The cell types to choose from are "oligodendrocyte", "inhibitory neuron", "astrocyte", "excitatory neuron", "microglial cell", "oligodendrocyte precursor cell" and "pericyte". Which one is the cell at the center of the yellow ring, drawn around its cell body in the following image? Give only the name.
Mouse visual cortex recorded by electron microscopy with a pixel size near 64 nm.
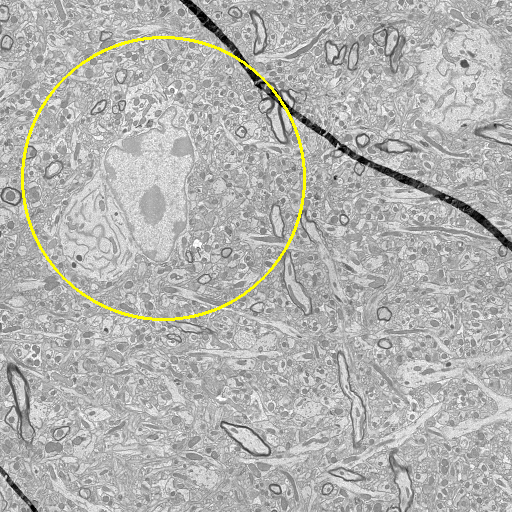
oligodendrocyte precursor cell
